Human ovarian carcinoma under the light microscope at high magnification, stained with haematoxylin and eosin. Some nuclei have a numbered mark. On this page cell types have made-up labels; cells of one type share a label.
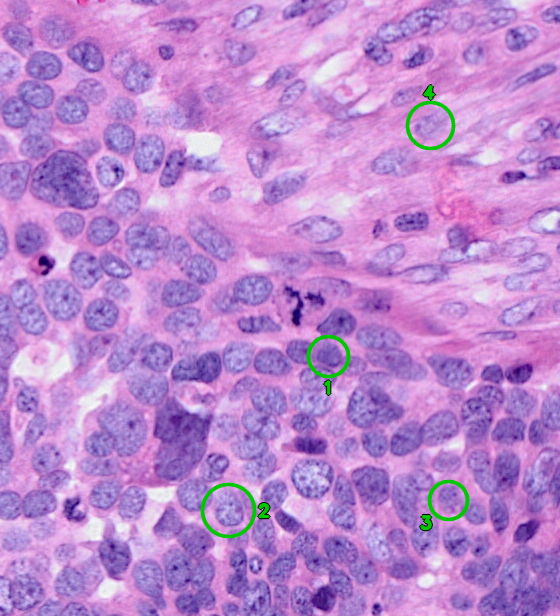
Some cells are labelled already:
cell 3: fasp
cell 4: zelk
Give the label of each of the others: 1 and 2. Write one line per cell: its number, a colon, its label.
1: fasp
2: fasp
